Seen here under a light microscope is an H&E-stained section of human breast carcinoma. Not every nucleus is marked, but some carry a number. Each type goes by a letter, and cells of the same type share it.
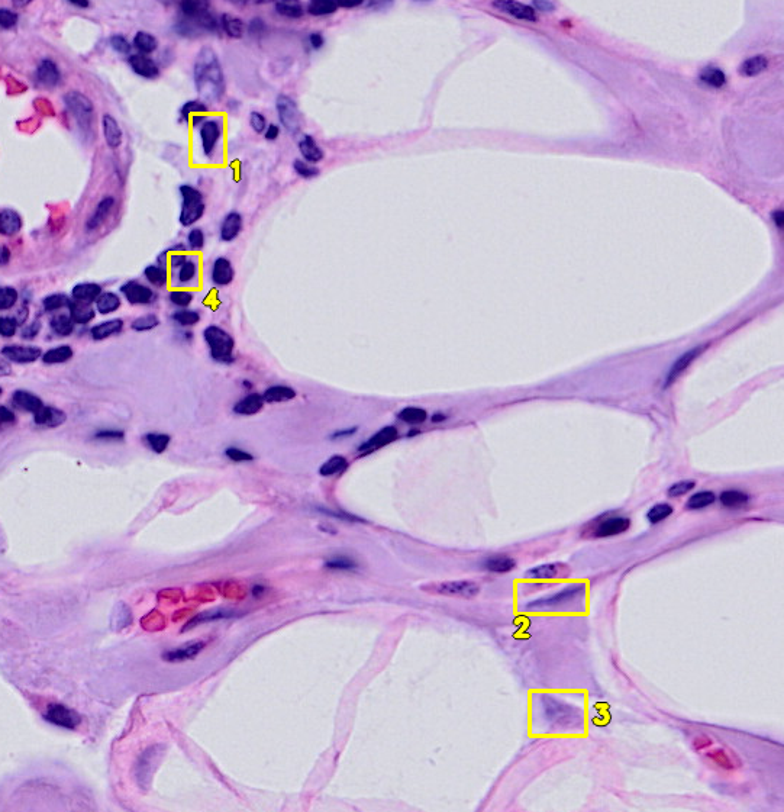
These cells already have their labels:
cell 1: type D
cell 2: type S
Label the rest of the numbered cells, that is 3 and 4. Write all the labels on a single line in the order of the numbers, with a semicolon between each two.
type S; type D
